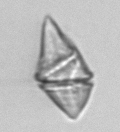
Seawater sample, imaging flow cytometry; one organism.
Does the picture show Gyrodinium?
Yes.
